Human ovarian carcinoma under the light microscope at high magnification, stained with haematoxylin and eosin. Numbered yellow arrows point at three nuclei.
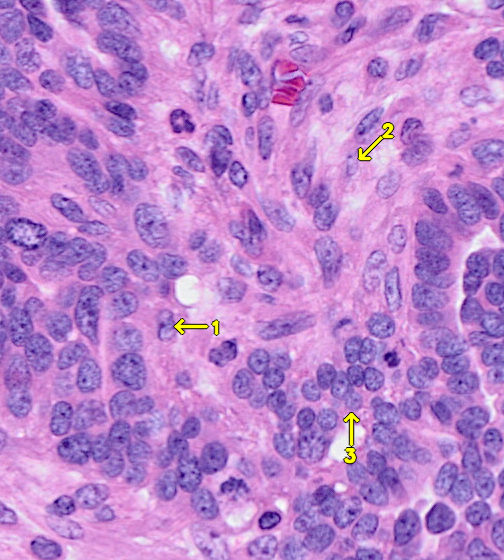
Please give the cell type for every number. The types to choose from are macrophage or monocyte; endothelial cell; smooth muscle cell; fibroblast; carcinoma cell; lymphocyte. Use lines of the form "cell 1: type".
cell 1: fibroblast
cell 2: fibroblast
cell 3: carcinoma cell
